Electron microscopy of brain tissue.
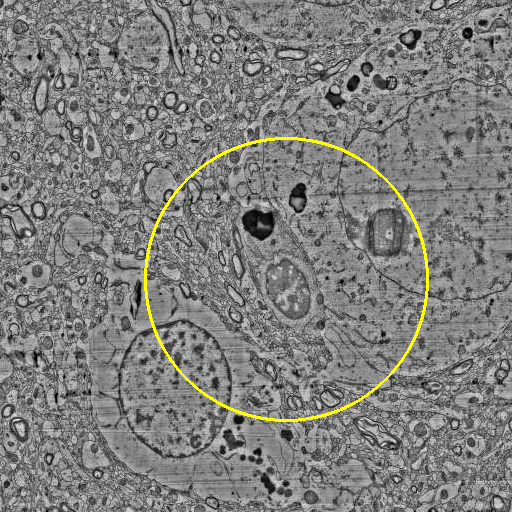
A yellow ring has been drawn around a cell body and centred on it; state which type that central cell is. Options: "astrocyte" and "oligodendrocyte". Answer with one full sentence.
The cell at the middle of the yellow ring is an oligodendrocyte in this picture.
